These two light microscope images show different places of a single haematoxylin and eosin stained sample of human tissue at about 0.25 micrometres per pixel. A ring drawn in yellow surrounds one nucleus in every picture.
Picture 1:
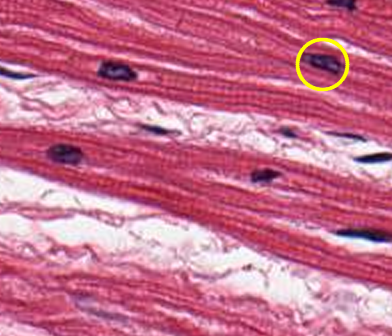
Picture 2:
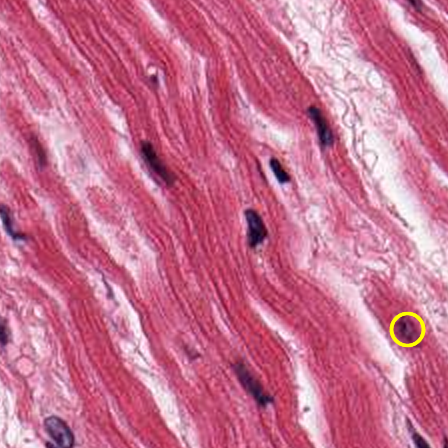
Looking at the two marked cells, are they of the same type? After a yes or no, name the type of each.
Yes, both are cardiomyocytes.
